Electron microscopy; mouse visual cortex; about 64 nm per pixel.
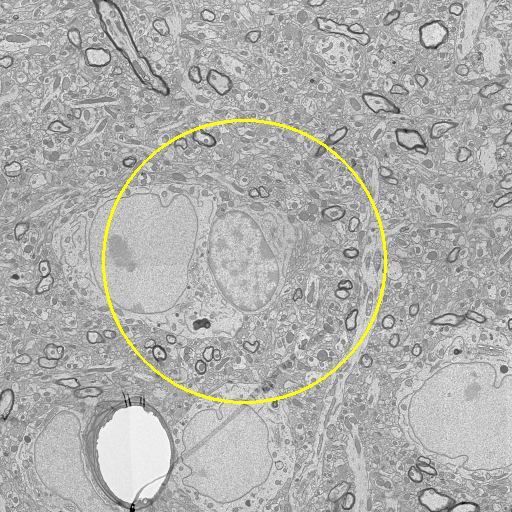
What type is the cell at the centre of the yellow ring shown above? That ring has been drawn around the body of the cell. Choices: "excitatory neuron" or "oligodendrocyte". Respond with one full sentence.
My answer is that an oligodendrocyte lies at the centre of the yellow ring above.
